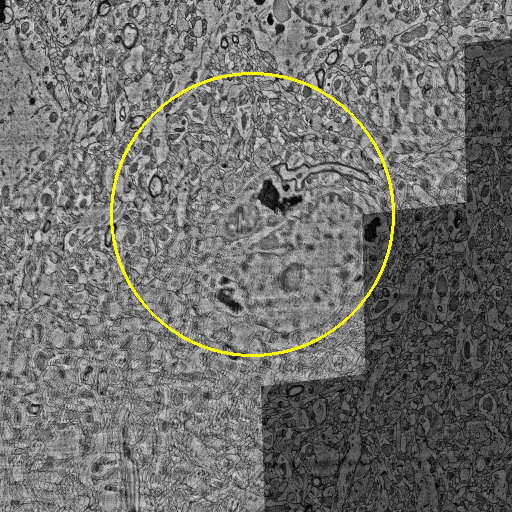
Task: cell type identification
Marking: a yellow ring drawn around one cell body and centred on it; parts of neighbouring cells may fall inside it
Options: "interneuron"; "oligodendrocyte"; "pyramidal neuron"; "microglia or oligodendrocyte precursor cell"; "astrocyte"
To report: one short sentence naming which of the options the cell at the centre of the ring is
The cell at the centre of the ring is an oligodendrocyte.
